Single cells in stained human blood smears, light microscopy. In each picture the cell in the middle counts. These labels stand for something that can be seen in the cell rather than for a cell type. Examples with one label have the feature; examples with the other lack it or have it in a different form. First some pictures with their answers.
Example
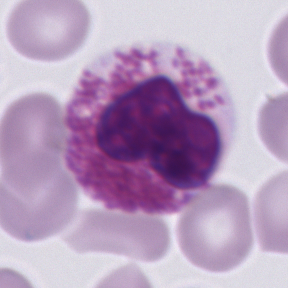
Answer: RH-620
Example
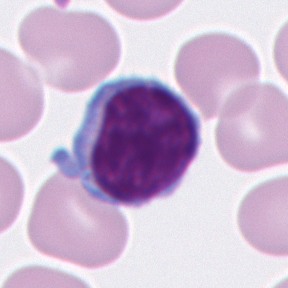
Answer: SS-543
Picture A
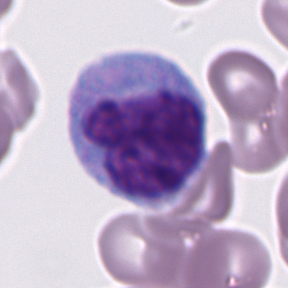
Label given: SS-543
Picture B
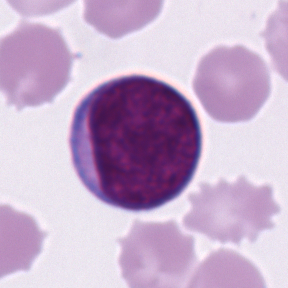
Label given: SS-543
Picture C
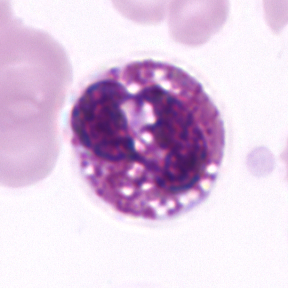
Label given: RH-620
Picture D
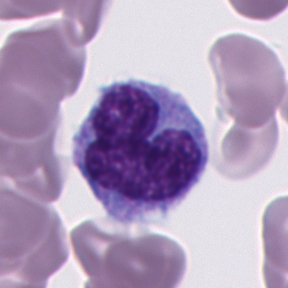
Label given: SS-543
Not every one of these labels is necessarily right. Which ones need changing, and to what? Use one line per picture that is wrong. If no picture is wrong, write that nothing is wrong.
A is labelled SS-543; correct label: RH-620
B is labelled SS-543; correct label: RH-620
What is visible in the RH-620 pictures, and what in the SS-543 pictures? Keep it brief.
RH-620: smooth outline; SS-543: ragged outline or projections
